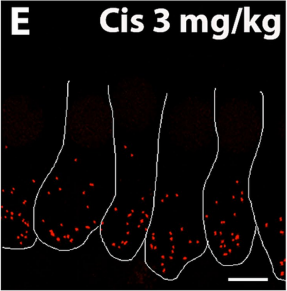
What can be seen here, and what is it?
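The cells are flask-shaped with rounded bases and sit in a tight row. The upper portions of the cells are largely free of puncta.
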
